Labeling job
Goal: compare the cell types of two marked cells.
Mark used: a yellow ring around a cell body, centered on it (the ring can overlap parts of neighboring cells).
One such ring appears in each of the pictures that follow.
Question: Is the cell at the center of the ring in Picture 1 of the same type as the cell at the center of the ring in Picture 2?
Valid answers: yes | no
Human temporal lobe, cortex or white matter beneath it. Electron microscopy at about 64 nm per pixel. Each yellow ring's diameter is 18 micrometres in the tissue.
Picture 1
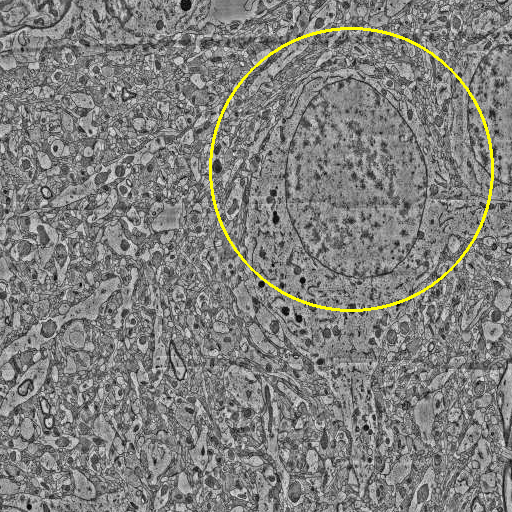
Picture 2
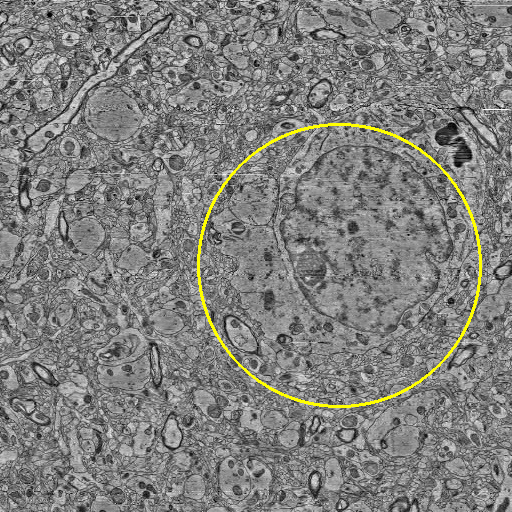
no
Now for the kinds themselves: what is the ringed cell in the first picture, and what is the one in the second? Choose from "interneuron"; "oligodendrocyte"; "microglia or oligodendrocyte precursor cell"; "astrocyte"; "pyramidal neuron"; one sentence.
Here the first cell is a pyramidal neuron and the second cell is an interneuron.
